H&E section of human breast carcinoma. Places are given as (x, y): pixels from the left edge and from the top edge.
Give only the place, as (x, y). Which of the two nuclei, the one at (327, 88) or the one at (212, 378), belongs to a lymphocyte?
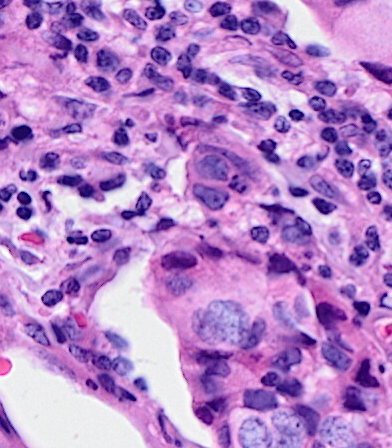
(327, 88)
